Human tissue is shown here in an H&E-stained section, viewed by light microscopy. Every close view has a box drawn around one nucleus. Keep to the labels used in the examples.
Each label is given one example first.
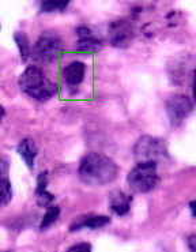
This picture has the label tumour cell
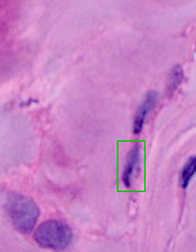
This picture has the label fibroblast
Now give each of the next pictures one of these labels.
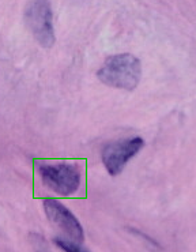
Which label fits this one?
fibroblast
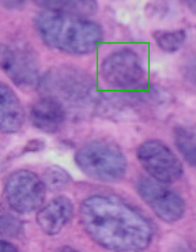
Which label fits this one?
tumour cell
